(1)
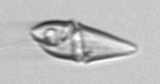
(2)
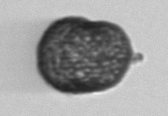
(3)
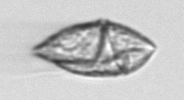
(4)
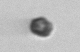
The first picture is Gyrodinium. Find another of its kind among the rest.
Picture 3.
